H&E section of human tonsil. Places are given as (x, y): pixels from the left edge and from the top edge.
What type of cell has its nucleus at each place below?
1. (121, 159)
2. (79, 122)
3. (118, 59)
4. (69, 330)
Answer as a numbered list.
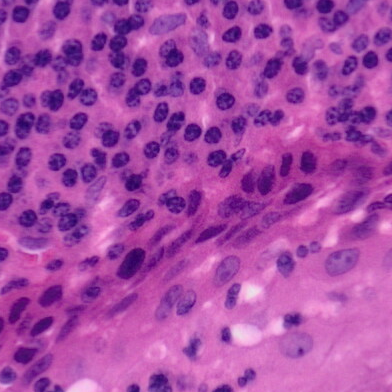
1. plasma cell
2. plasma cell
3. plasma cell
4. squamous epithelial cell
